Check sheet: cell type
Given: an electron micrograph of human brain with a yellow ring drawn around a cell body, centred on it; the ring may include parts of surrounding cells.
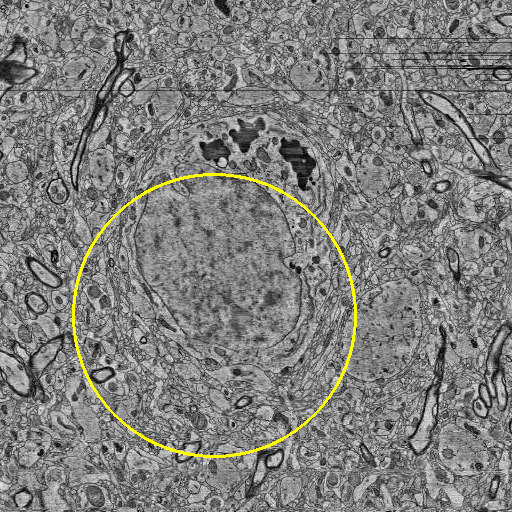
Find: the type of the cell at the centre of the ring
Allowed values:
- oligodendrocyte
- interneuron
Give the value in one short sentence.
Here the ringed cell is an interneuron.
